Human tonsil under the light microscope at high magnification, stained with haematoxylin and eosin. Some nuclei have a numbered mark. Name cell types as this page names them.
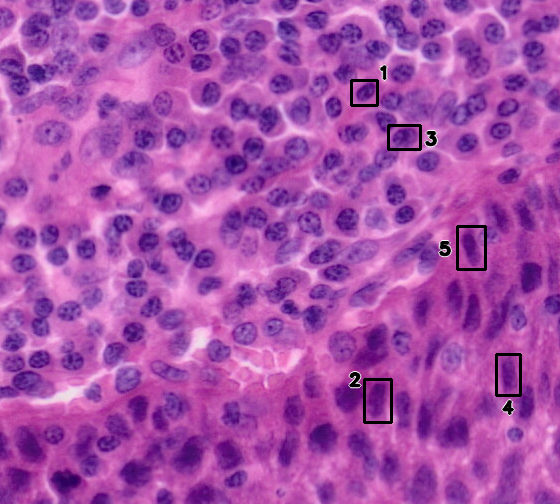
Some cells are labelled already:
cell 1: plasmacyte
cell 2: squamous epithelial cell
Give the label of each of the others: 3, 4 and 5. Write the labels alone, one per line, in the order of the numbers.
plasmacyte
squamous epithelial cell
squamous epithelial cell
